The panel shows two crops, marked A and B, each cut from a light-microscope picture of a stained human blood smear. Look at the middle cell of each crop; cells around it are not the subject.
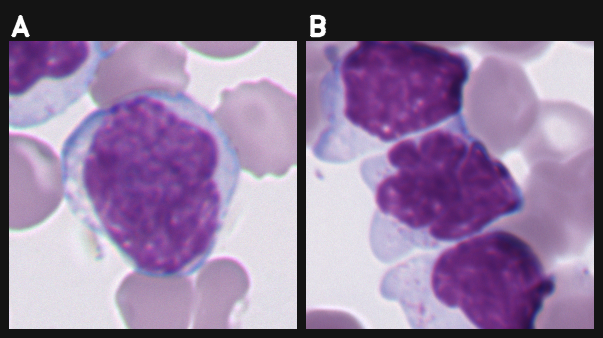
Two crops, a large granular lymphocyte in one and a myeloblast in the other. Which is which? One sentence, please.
Crop B is a large granular lymphocyte, while crop A is a myeloblast.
